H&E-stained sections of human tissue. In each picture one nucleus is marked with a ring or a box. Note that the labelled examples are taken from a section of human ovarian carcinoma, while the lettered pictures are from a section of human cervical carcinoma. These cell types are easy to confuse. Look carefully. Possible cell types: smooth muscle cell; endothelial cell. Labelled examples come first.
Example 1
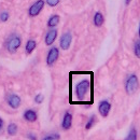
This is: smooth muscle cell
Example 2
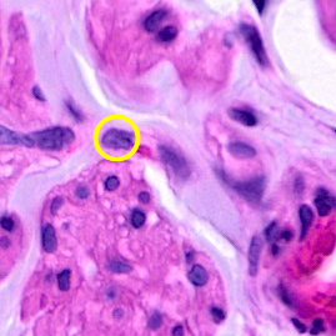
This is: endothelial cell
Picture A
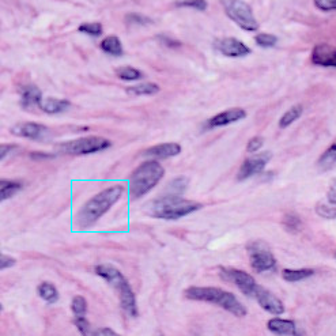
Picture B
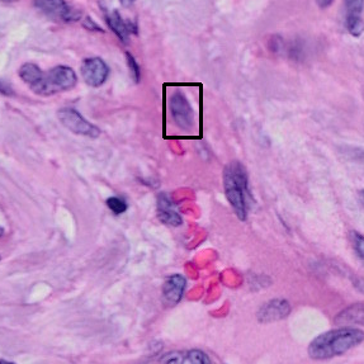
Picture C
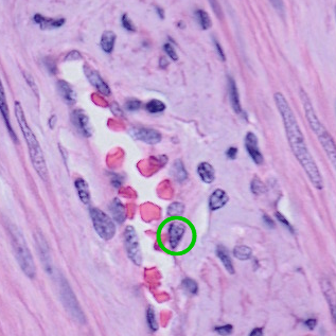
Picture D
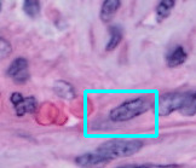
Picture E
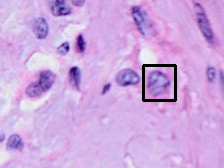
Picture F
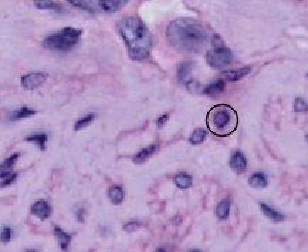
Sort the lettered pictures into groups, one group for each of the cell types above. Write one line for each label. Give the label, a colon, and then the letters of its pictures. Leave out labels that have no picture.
smooth muscle cell: A, F
endothelial cell: B, C, D, E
